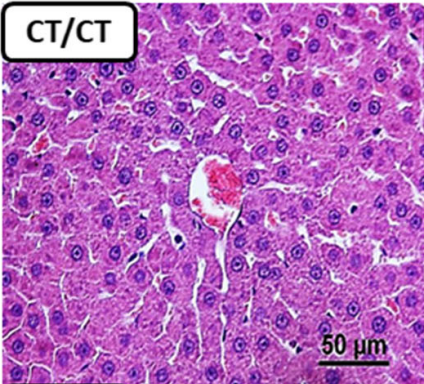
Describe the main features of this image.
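The field is filled with large polygonal hepatocytes with pink, finely granular cytoplasm and single round central nuclei, each showing a dark nucleolus. They are arranged in cords radiating around a central vessel that contains red blood cells, separated by narrow pale sinusoidal spaces. No clear vacuoles or inflammatory clusters are seen, so this is orderly liver parenchyma.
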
